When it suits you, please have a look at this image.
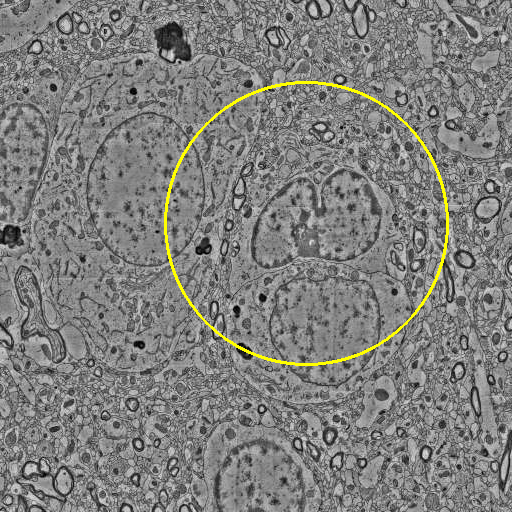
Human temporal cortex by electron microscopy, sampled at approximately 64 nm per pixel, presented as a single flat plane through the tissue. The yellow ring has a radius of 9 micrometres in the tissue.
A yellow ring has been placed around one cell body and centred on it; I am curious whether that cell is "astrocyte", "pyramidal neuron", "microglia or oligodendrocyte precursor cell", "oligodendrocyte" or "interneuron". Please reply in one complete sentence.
The ringed cell, a microglial cell or oligodendrocyte precursor cell, has its body at the centre of the yellow ring.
